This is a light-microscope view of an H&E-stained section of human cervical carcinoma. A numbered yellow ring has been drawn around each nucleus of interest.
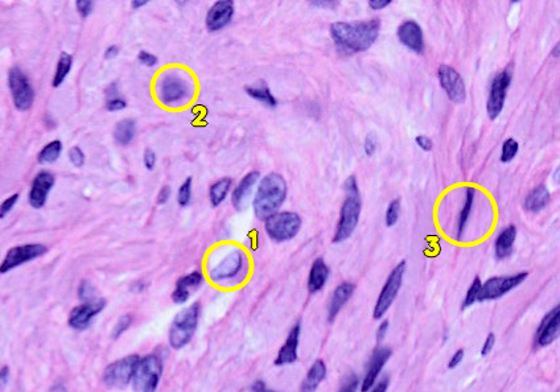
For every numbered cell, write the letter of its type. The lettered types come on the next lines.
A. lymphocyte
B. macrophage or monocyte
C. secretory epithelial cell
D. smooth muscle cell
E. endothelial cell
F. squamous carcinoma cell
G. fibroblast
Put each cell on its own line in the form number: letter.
1: E
2: G
3: G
